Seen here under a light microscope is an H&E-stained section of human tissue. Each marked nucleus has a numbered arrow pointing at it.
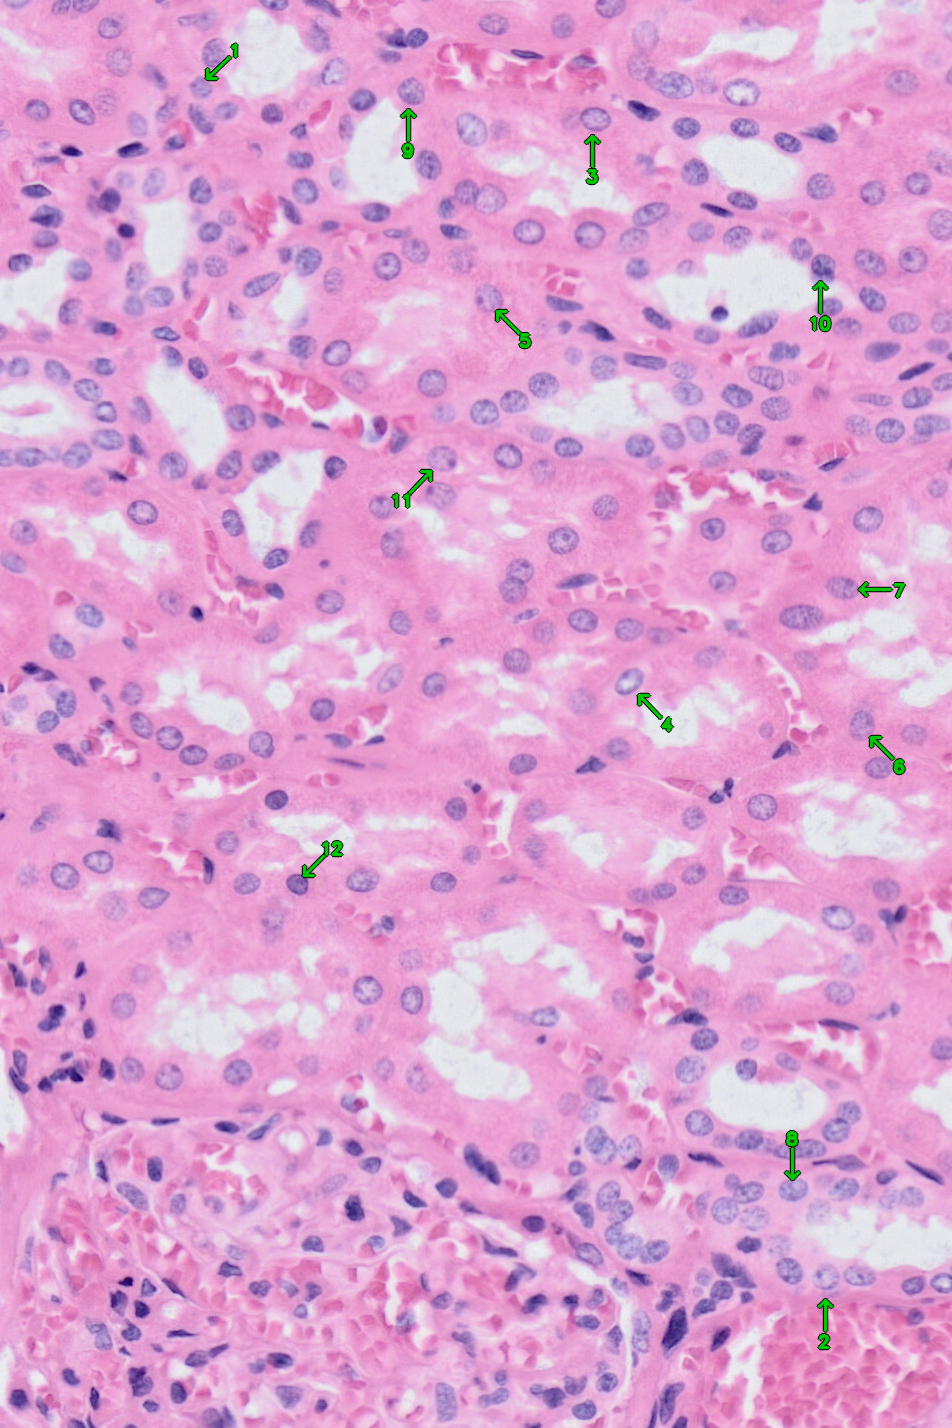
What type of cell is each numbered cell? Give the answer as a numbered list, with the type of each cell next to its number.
1. loop of Henle or distal tubule cell
2. collecting duct cell
3. proximal tubule cell
4. proximal tubule cell
5. proximal tubule cell
6. proximal tubule cell
7. proximal tubule cell
8. collecting duct cell
9. loop of Henle or distal tubule cell
10. loop of Henle or distal tubule cell
11. proximal tubule cell
12. proximal tubule cell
